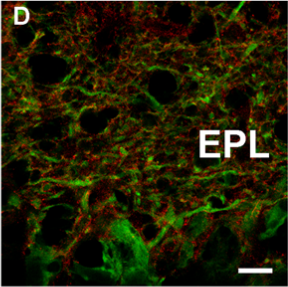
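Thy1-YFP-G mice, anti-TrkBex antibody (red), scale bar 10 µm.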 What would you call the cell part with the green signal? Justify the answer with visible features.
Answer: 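Lateral dendrites of mitral/tufted cells. Green processes run in many directions forming a mesh around dark round holes. The processes are long and thin, crossing the field horizontally and obliquely.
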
